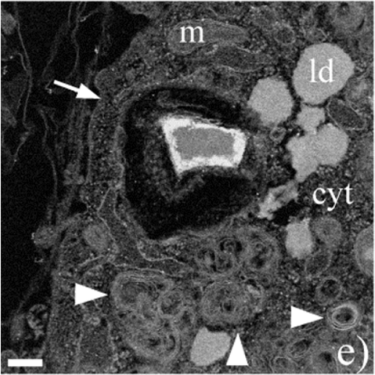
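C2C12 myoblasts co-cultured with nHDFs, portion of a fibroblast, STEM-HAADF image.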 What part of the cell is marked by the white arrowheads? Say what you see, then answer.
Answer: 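Multilamellar bodies. The arrowheads mark round bodies made of concentric membrane layers. Several such bodies lie in the cytoplasm below the large compartment.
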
